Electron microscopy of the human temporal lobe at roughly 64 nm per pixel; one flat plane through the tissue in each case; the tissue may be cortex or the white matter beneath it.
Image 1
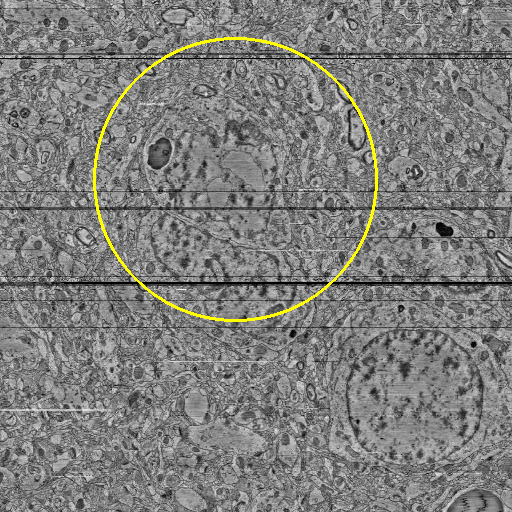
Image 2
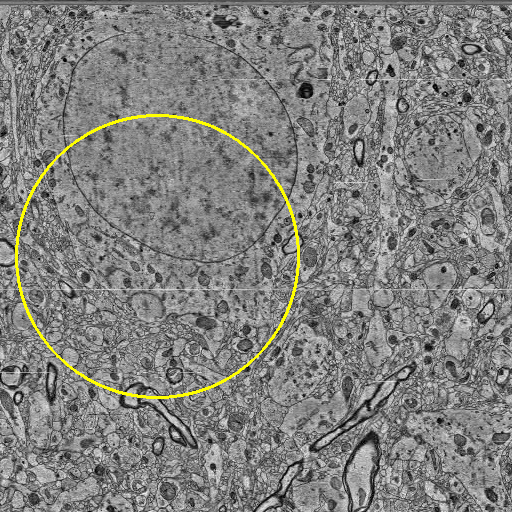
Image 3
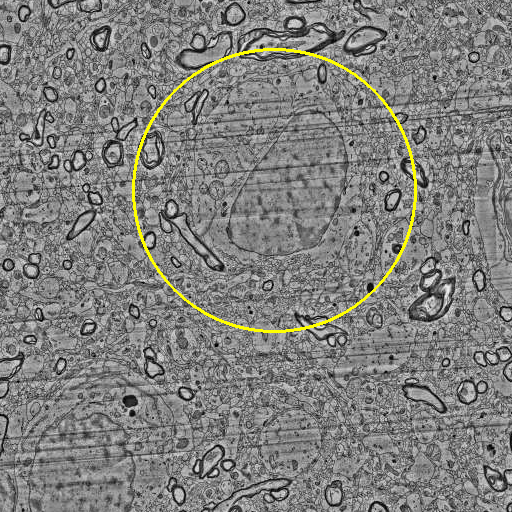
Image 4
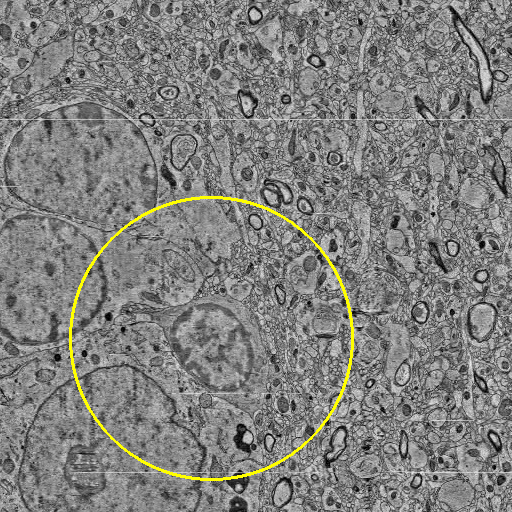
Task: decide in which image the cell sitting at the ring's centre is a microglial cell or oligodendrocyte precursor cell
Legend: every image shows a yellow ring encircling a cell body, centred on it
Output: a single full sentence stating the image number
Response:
In image 3, the cell at the middle of the ring is the match.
